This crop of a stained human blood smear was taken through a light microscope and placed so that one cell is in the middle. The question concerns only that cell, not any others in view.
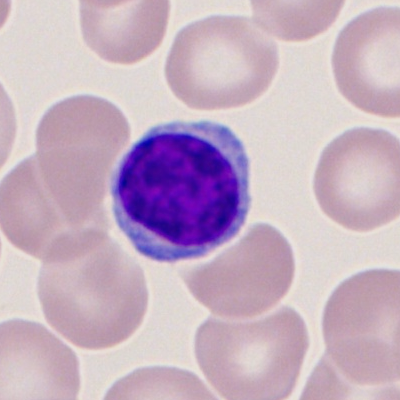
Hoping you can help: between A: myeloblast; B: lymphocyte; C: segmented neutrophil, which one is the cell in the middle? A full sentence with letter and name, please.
The central cell of the crop is a lymphocyte, which makes B the correct option.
